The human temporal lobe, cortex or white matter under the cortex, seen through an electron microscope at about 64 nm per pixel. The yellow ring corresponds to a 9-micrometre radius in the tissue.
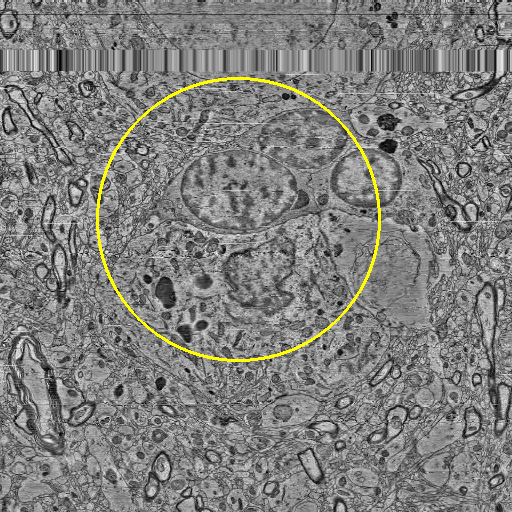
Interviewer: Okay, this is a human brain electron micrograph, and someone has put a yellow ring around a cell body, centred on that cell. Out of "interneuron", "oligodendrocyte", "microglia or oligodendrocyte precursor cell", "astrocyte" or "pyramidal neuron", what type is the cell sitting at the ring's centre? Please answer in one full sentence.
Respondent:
The cell at the centre of the yellow ring in this picture is an oligodendrocyte.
